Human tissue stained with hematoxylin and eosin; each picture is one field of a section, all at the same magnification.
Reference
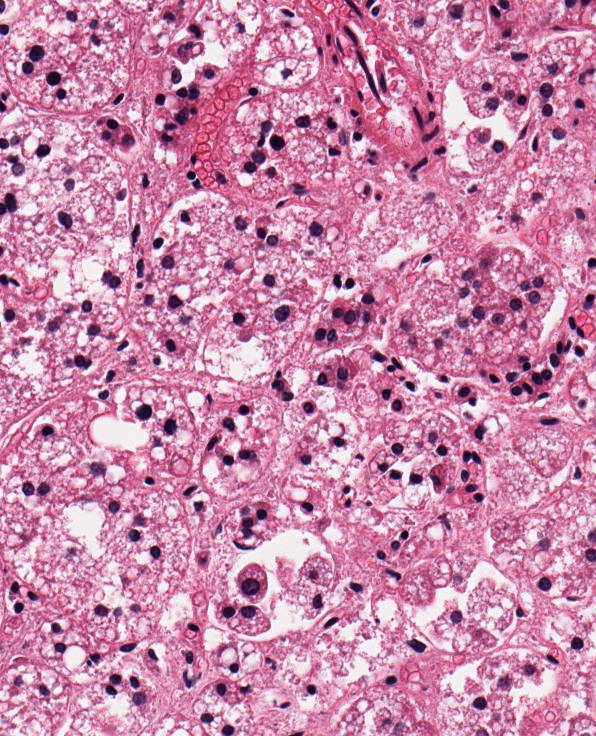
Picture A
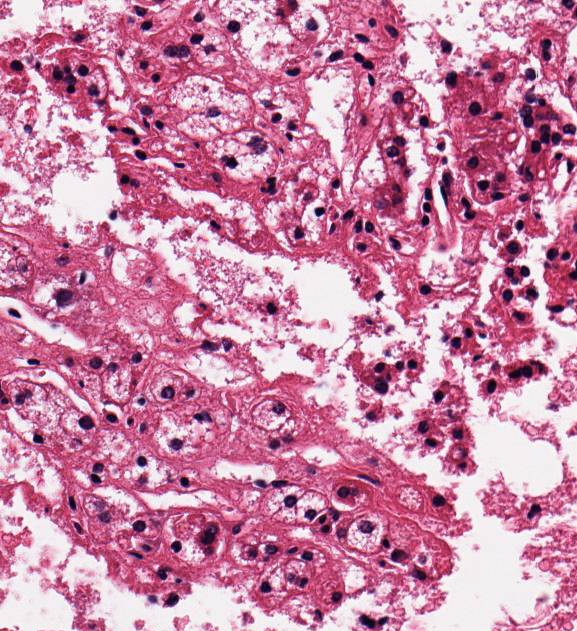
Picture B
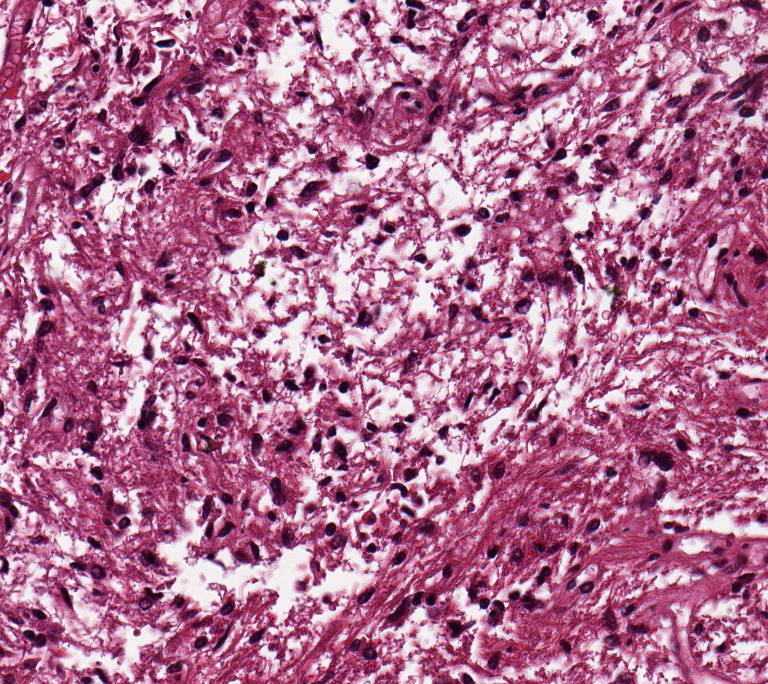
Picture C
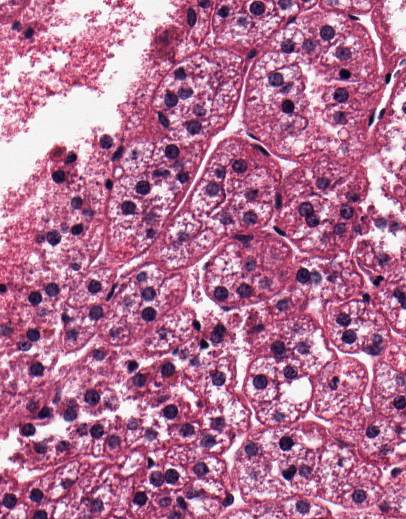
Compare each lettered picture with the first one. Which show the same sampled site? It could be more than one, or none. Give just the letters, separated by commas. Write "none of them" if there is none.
A, C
